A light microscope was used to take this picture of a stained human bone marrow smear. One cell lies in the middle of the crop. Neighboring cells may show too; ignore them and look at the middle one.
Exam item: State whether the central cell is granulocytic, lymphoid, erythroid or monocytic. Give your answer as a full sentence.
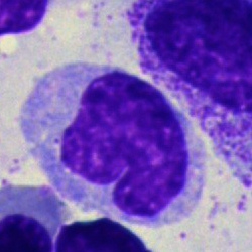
In this crop, the central cell belongs to the monocytic lineage.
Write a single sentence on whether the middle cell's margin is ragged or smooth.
The membrane contour is even and smooth, with nothing projecting from it.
